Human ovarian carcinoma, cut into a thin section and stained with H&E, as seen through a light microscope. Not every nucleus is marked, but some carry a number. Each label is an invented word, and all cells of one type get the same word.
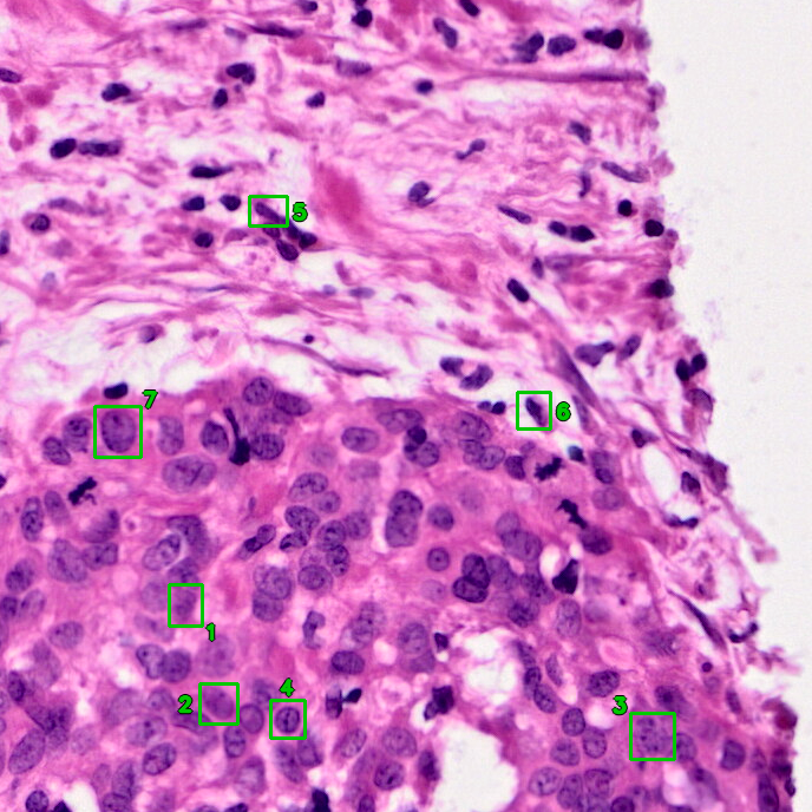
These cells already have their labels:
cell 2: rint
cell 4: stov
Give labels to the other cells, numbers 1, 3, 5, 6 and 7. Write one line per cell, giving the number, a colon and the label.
1: rint
3: rint
5: stov
6: stov
7: rint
